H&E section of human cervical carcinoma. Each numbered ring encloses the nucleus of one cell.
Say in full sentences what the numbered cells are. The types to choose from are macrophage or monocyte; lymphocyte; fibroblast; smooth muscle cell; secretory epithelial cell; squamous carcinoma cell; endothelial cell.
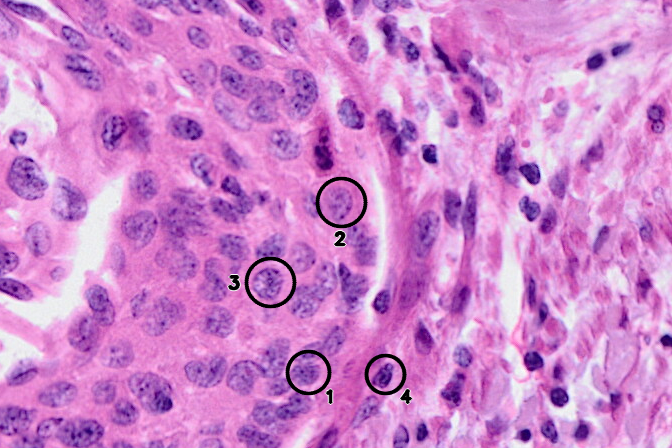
Cells 1, 2 and 3 are squamous carcinoma cells. Cell 4 is a lymphocyte.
